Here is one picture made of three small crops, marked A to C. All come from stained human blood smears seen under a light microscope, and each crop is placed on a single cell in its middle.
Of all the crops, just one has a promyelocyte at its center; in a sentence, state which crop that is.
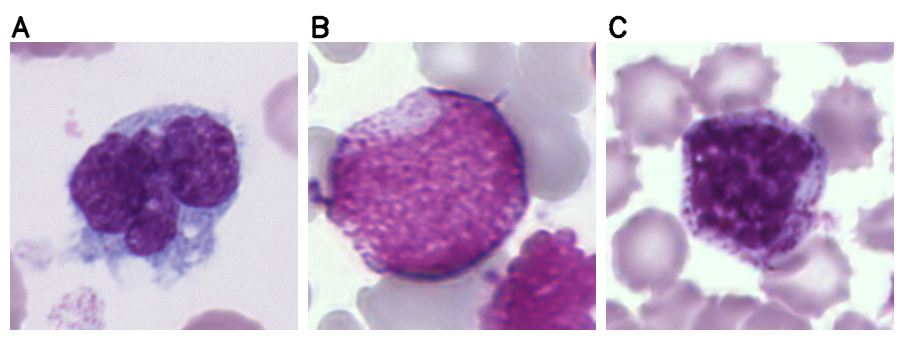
Crop B represents a promyelocyte, while the other crops do not.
